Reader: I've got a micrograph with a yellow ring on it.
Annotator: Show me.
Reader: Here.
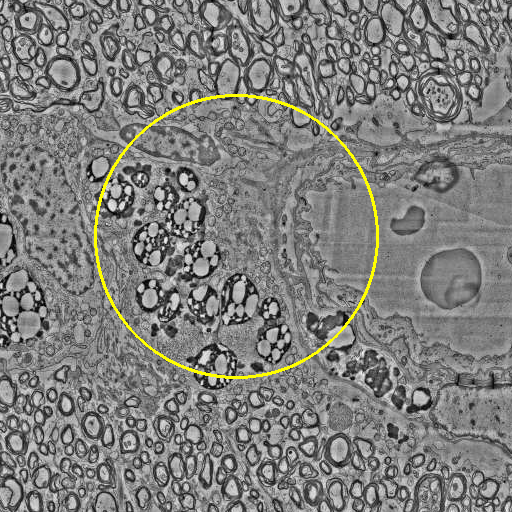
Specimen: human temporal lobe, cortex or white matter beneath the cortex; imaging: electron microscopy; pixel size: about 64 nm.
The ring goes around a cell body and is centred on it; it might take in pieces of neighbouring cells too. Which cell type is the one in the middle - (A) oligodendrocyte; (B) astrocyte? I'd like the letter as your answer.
B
